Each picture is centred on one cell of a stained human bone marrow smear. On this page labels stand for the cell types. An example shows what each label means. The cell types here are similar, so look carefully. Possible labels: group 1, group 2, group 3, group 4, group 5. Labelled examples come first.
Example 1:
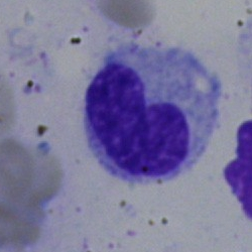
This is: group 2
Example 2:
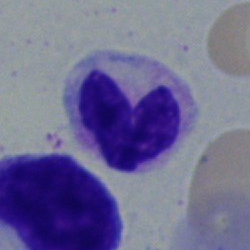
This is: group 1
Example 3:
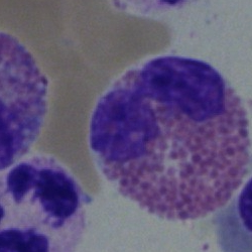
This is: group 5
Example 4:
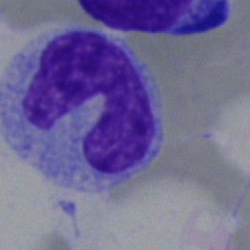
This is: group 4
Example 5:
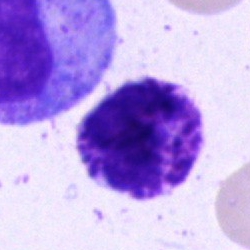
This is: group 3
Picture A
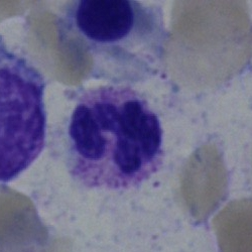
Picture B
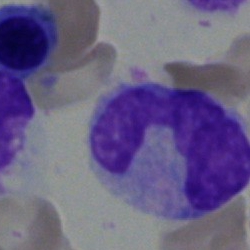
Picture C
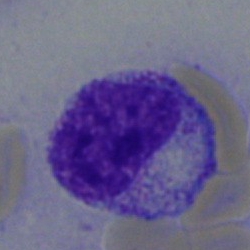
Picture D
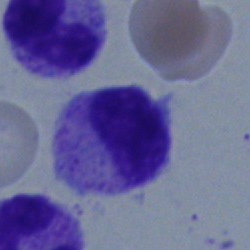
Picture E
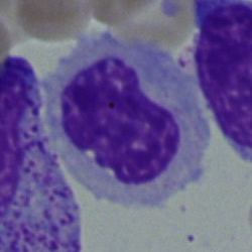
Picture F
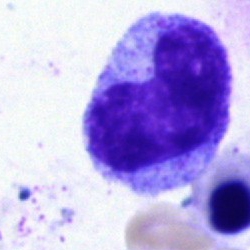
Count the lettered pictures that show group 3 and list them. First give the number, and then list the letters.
1: A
